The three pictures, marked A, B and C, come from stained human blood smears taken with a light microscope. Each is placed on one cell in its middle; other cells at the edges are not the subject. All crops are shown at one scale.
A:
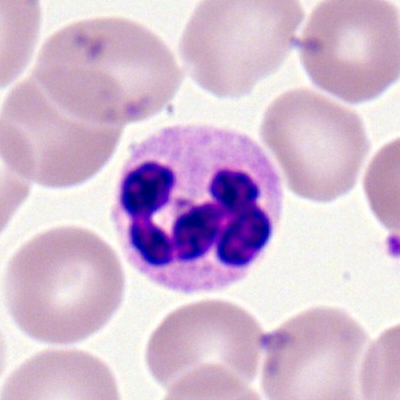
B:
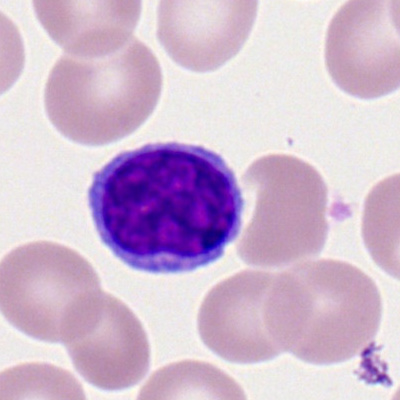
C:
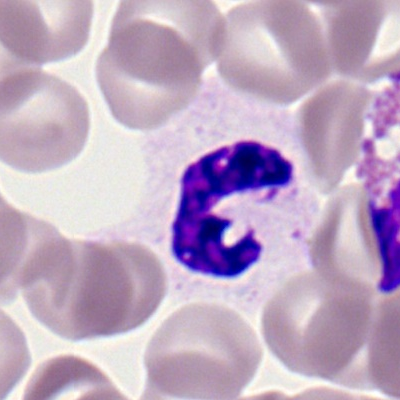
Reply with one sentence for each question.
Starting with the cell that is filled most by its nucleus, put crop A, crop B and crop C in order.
The most filled comes first: B, A, C.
